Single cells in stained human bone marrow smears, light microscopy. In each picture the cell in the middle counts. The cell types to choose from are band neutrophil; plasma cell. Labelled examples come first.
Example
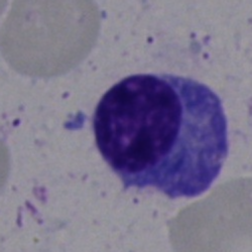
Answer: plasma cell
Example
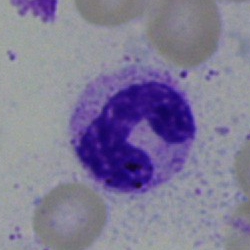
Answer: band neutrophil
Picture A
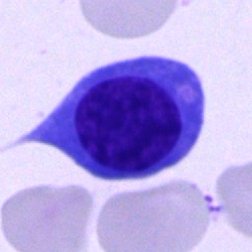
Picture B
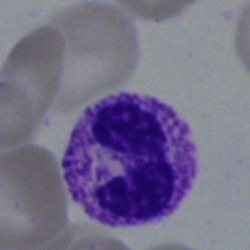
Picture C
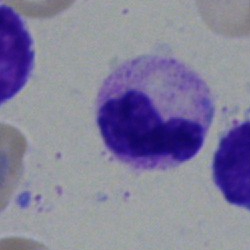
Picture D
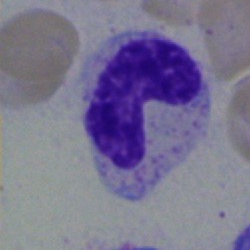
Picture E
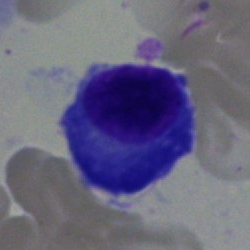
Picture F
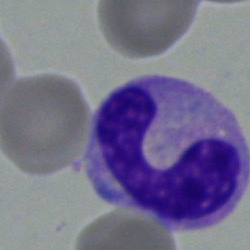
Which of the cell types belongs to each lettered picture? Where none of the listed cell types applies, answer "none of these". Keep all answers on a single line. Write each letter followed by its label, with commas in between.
A plasma cell, B band neutrophil, C band neutrophil, D band neutrophil, E plasma cell, F band neutrophil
